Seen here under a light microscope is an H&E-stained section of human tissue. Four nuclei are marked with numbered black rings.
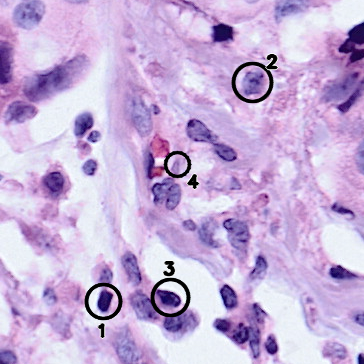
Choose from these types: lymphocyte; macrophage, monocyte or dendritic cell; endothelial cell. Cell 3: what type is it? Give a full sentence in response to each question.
The cell with the number 3 is a lymphocyte.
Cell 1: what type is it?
The nucleus marked 1 is the nucleus of a lymphocyte.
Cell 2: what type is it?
The cell marked with the number 2 is a macrophage, monocyte or dendritic cell.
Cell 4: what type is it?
Among the marked nuclei, number 4 belongs to an endothelial cell.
